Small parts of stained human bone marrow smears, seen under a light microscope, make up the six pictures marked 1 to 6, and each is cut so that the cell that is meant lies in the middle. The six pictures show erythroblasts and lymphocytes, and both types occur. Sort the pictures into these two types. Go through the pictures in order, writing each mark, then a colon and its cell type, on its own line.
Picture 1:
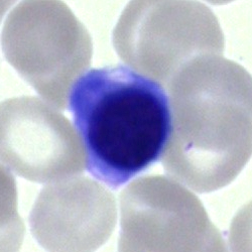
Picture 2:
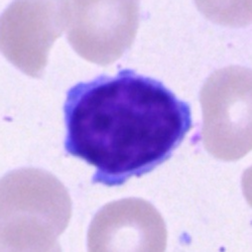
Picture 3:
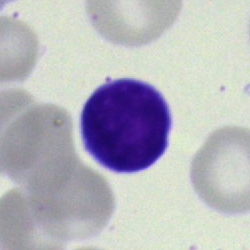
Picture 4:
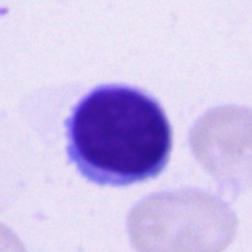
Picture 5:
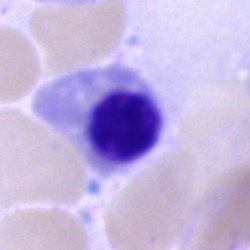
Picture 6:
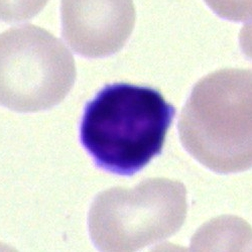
1: erythroblast
2: lymphocyte
3: lymphocyte
4: lymphocyte
5: erythroblast
6: lymphocyte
